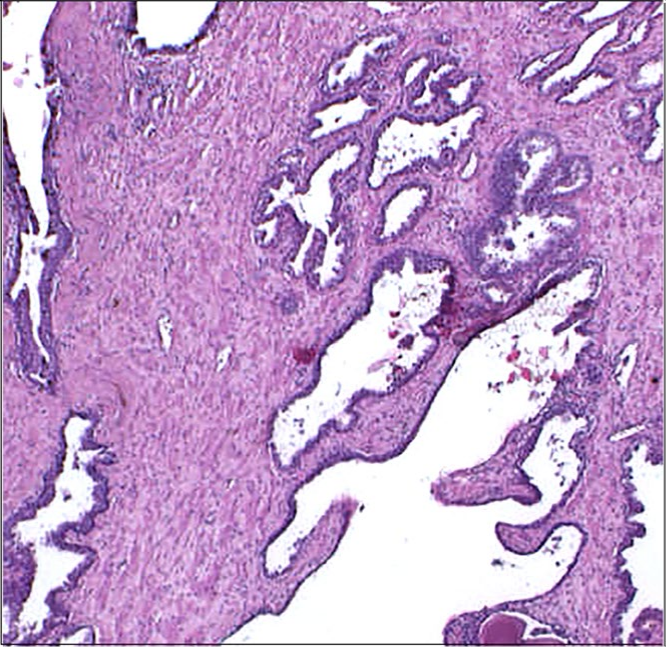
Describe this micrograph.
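This is a section of prostate, where glands lie within a dense pink fibromuscular stroma. On the left, a wide band of stroma is made of closely packed spindle-shaped cells with elongated nuclei and no glands. In the upper middle and right, glands with irregular, branching outlines and small folds lie closer together. Toward the lower right, some glandular spaces widen into large, nearly empty cyst-like cavities, a few of which contain scattered red blood cells and pale material.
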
